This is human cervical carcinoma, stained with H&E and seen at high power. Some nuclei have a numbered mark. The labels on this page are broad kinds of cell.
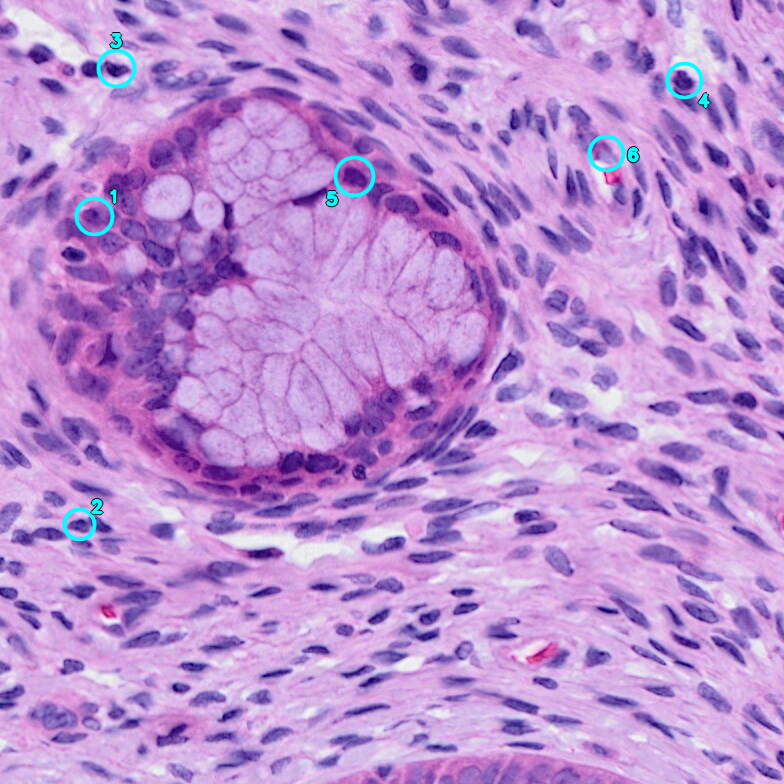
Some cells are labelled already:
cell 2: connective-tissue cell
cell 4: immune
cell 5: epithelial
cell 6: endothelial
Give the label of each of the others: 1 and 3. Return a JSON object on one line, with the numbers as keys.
{"1": "epithelial", "3": "immune"}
